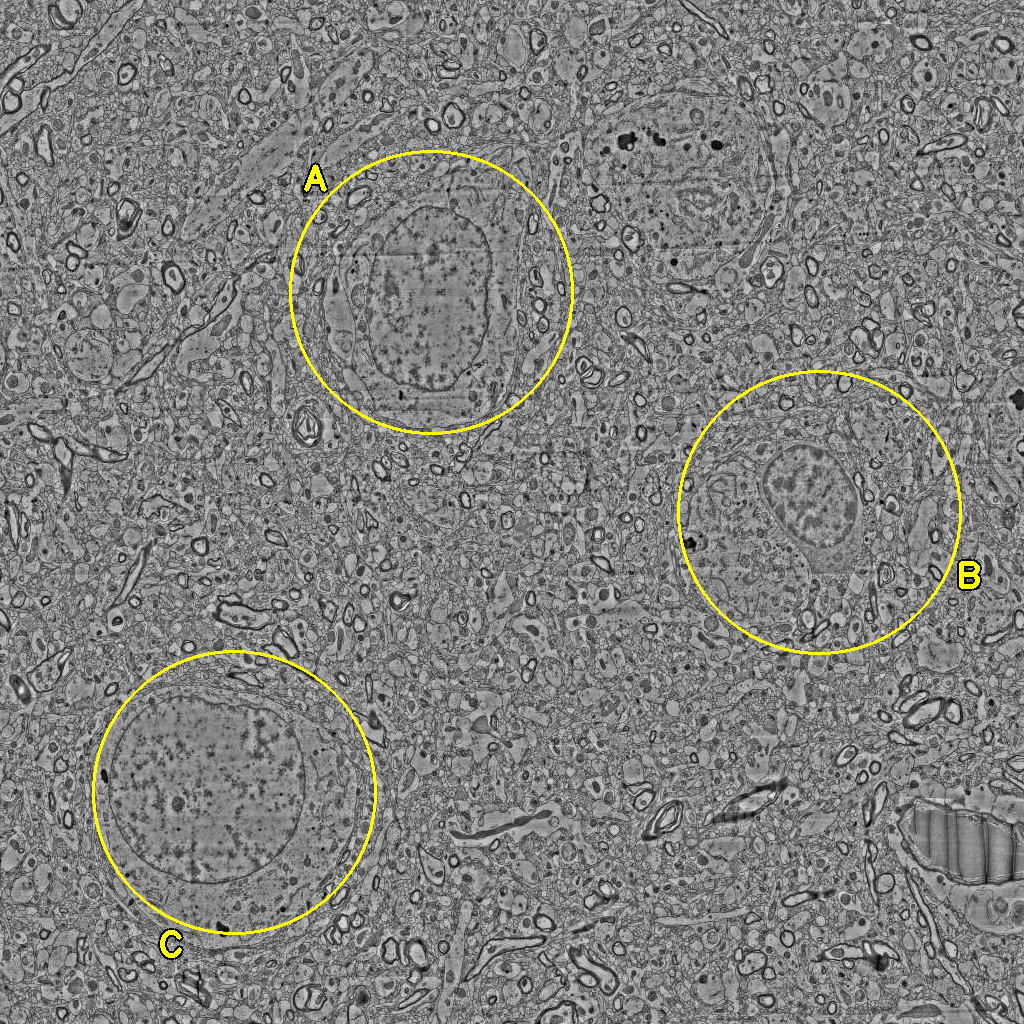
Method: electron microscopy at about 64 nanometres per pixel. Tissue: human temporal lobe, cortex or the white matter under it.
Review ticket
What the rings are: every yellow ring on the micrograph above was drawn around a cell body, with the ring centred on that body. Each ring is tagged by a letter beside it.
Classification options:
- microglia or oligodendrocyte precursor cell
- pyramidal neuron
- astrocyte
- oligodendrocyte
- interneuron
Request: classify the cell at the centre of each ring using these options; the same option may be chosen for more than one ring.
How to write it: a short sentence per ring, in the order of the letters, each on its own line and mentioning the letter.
The cell centred in ring A is a pyramidal neuron.
The cell centred in ring B is an oligodendrocyte.
The cell centred in ring C is a pyramidal neuron.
